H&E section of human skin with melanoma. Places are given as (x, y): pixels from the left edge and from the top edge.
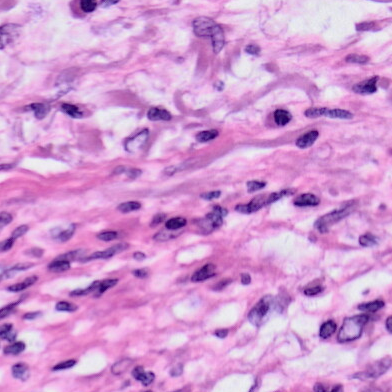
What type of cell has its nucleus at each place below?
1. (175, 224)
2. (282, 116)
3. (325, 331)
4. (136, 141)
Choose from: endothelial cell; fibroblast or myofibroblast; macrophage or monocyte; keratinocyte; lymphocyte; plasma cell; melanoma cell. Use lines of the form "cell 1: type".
cell 1: plasma cell
cell 2: plasma cell
cell 3: plasma cell
cell 4: fibroblast or myofibroblast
